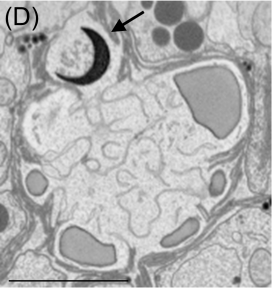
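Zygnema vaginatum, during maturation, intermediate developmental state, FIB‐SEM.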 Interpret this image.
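This electron micrograph shows part of the chloroplast of a zygospore, with a pyrenoid at its centre. The central region is pale and crossed by many thin, winding membranes. Smooth, uniformly grey bodies lie at the edge of this region; these are starch granules of varying size. Near the top, a small dark body is bent into a crescent, unlike the rounded grey granules. Small, dense, dark round particles lie in the surrounding cytoplasm at the upper left.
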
